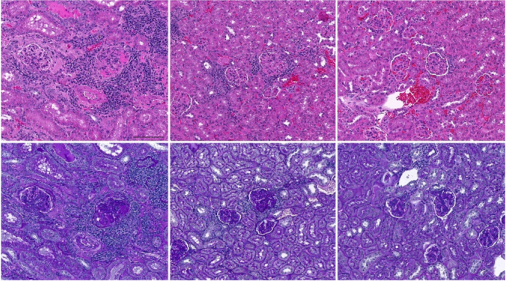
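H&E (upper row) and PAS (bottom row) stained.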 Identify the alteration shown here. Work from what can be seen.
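Dense clusters of small dark-blue nuclei lie between tubules in the left-hand images. These clusters surround glomeruli and vessels.
Answer: inflammatory cell infiltration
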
